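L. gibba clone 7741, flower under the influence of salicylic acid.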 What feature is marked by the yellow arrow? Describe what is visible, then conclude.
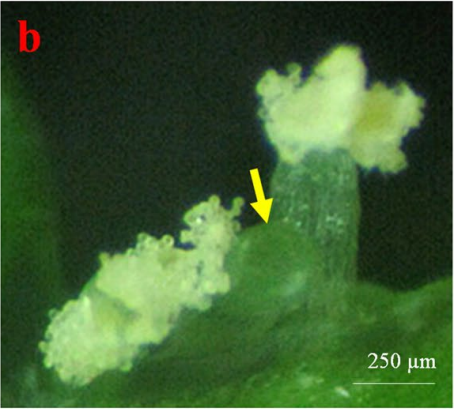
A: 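The arrow points to a rounded, translucent green swelling beside a slender translucent column.
Hence: stigma.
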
